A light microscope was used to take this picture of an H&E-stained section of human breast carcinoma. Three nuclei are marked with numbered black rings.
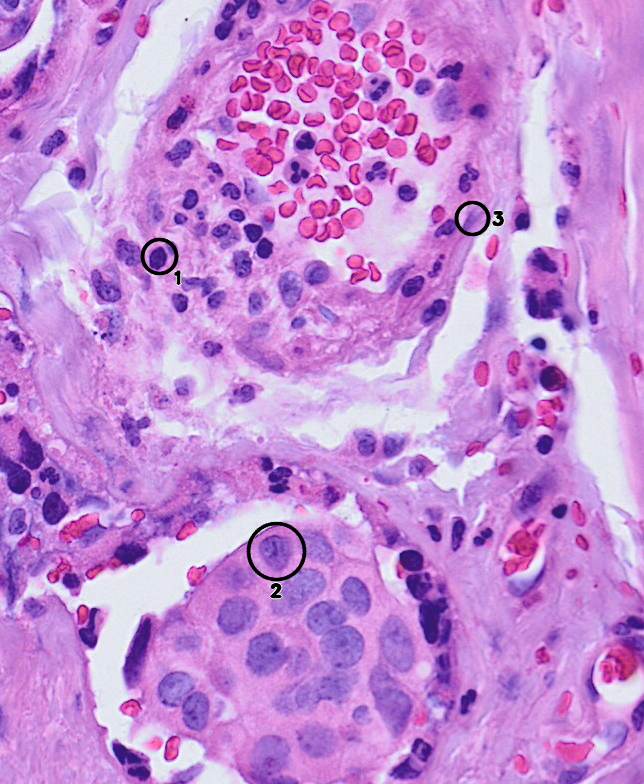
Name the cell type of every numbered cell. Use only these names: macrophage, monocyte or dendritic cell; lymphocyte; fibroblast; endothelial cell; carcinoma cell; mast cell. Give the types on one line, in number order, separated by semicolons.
lymphocyte; carcinoma cell; endothelial cell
